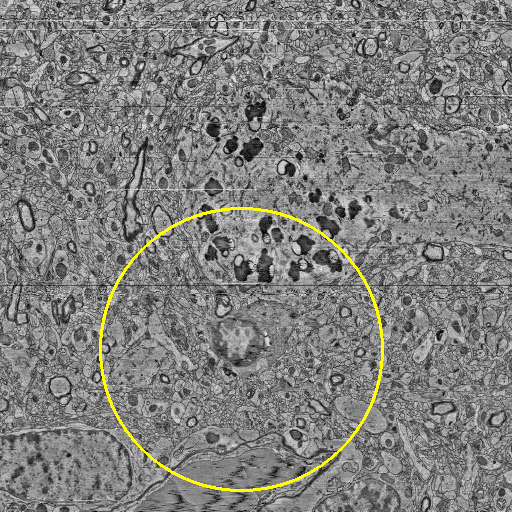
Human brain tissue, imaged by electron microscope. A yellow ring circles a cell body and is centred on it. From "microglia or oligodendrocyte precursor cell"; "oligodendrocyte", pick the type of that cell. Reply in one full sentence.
The cell body at the centre of the yellow ring belongs to an oligodendrocyte.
